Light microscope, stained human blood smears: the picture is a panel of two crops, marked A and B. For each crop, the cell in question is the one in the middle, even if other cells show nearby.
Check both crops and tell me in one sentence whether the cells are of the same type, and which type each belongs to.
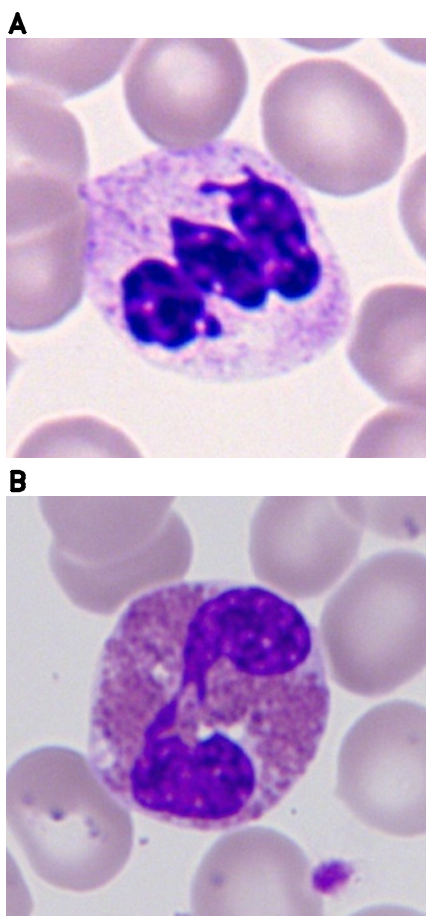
No: a segmented neutrophil sits in crop A, and an eosinophil sits in crop B.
